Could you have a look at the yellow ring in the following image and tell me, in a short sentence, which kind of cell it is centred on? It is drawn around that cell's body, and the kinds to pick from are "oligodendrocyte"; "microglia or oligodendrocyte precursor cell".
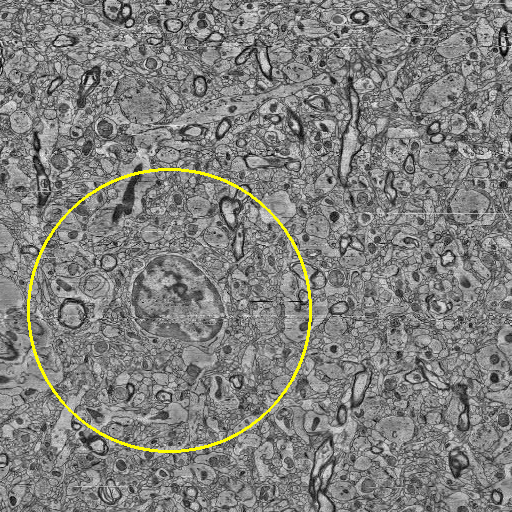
The ring is centred on the body of a microglial cell or oligodendrocyte precursor cell.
